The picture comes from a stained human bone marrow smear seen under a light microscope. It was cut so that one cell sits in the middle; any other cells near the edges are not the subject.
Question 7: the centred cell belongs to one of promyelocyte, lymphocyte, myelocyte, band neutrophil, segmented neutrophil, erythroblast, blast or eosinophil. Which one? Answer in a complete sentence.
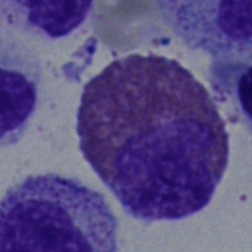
The central cell, amid any neighbouring cells, is an eosinophil.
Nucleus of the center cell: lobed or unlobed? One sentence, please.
In this cell the nucleus is a solitary compact mass, round, oval or kidney-shaped.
